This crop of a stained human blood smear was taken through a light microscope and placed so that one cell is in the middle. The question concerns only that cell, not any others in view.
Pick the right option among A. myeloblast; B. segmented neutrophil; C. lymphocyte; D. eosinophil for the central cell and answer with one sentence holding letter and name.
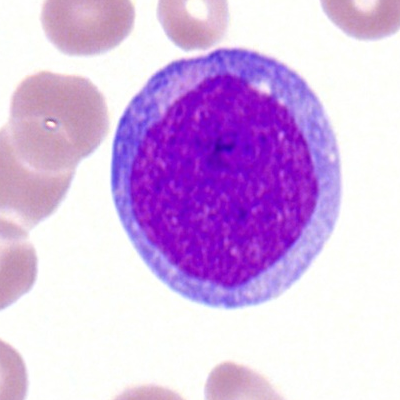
Option A gives the correct identity of the central cell, namely a myeloblast.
